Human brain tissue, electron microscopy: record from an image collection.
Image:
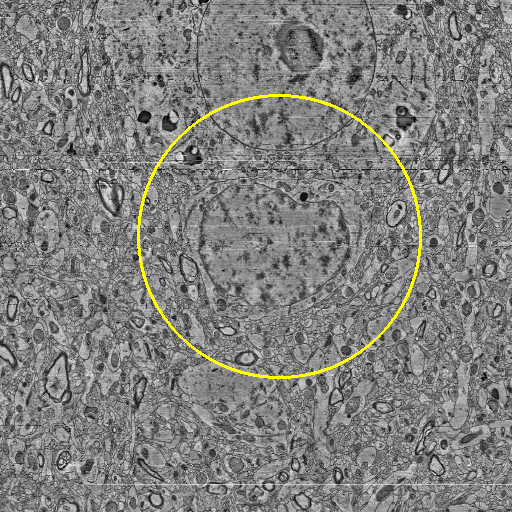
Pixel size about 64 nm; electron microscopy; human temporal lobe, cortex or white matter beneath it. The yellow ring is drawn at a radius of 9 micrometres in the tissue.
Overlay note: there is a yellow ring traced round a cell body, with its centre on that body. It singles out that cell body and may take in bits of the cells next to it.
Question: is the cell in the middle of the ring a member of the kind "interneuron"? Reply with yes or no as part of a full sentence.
Yes, the image's ringed cell, the one at the ring's centre, is a member of that kind.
